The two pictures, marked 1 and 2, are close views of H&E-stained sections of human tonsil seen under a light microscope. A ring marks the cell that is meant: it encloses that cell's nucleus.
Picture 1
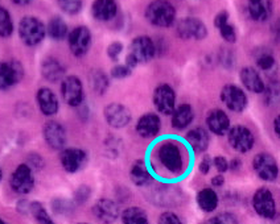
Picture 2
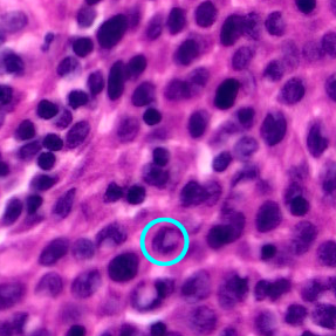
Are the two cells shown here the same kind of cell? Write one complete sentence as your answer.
No, the types are not the same, since picture 1 shows a plasma cell and picture 2 a squamous epithelial cell.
